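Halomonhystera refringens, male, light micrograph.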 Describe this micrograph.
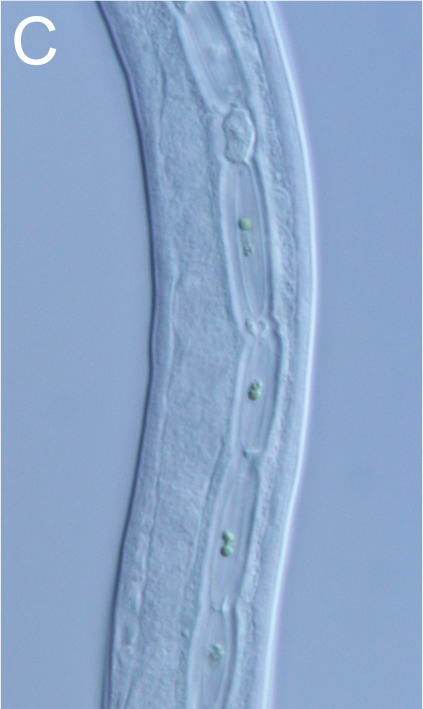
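A stretch of a slender nematode body is seen in differential interference contrast, with a thin clear cuticle along both edges and granular tissue beneath it. Down the middle runs a long tube with a clear lumen, pinched at intervals into elongated chambers. Inside the lumen lie small greenish rounded bodies, mostly in pairs, spaced along the tube.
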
